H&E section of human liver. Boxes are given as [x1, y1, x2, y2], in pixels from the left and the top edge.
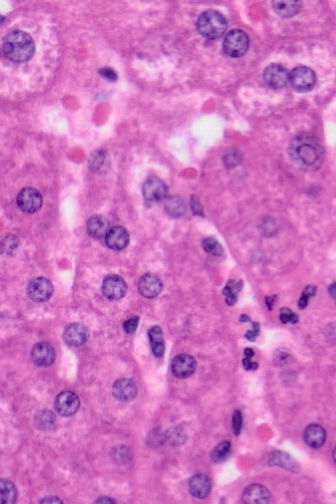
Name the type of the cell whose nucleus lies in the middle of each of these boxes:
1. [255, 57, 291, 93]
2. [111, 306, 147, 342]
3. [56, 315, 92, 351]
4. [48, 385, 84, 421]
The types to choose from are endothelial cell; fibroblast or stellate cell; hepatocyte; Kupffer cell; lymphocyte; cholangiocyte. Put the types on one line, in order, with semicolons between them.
hepatocyte; fibroblast or stellate cell; hepatocyte; hepatocyte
